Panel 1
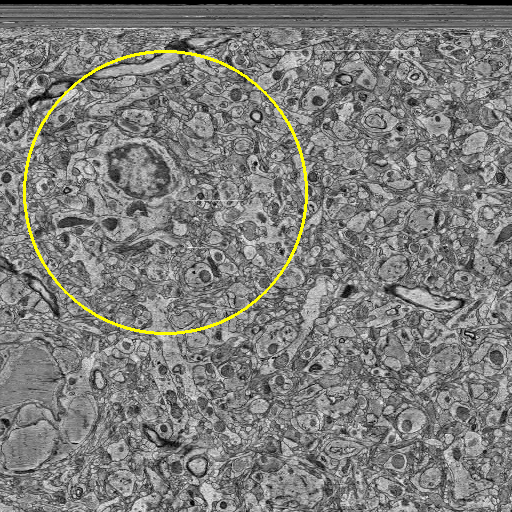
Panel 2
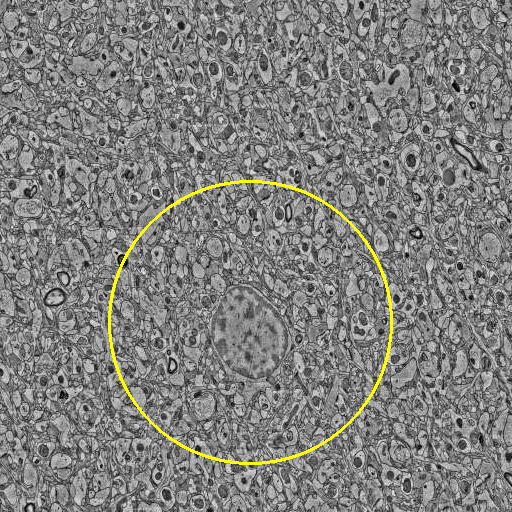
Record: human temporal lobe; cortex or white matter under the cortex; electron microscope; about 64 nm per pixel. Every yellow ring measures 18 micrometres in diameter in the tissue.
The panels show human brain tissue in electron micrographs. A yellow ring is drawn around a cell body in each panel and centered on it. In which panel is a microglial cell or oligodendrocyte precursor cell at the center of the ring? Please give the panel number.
1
